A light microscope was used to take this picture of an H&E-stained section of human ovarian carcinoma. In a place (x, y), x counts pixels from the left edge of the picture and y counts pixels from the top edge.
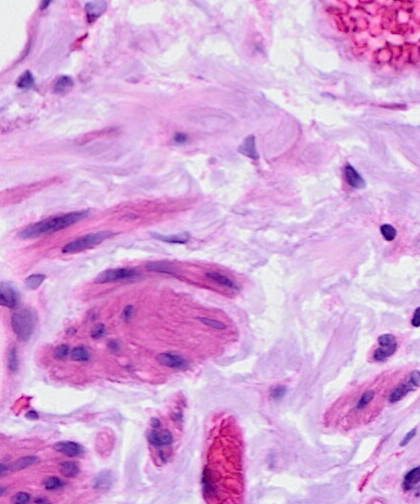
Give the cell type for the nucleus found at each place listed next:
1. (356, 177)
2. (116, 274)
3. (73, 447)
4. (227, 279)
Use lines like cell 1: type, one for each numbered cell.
cell 1: fibroblast
cell 2: smooth muscle cell
cell 3: smooth muscle cell
cell 4: smooth muscle cell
